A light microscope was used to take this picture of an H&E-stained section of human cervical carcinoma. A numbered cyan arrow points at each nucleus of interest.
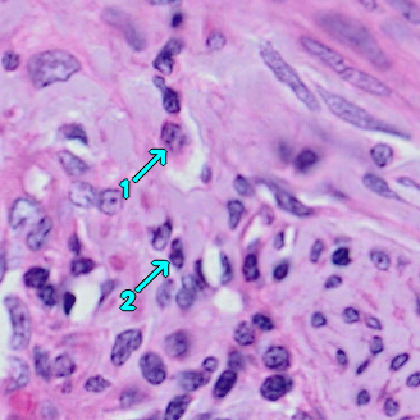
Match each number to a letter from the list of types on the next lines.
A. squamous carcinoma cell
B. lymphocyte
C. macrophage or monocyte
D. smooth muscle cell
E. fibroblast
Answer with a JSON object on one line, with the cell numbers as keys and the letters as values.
{"1": "C", "2": "B"}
